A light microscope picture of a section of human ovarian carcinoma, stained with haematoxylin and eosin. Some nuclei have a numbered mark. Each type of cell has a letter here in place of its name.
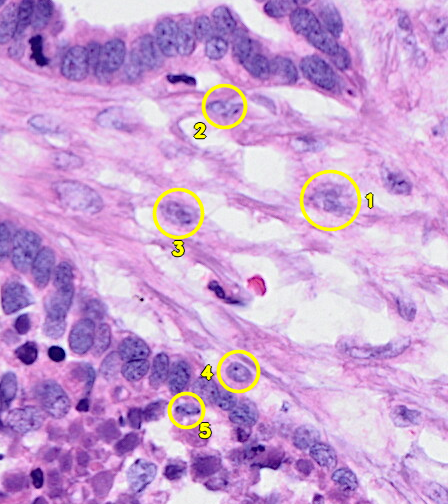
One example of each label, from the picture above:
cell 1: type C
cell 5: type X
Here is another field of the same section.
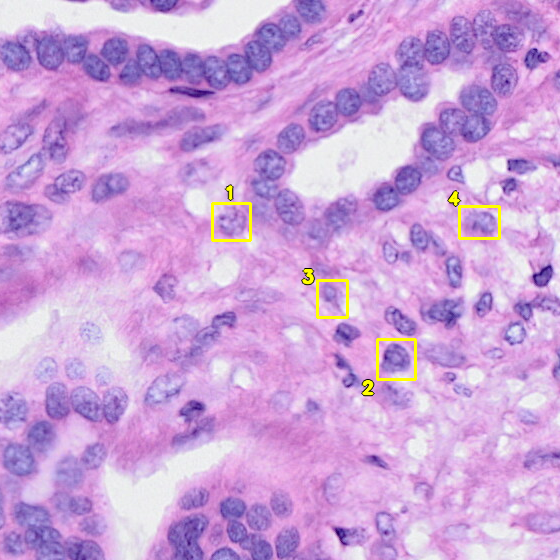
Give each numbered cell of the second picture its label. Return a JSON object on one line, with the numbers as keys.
{"1": "type C", "2": "type X", "3": "type C", "4": "type C"}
